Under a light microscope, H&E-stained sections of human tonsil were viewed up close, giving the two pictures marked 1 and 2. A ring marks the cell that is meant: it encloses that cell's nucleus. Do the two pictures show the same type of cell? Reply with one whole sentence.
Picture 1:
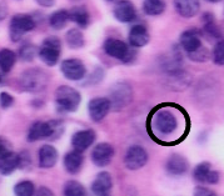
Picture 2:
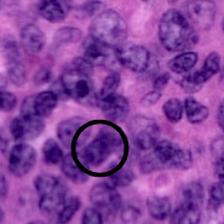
No, they differ: the cell is an endothelial cell in picture 1 and a proliferating B cell in picture 2.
